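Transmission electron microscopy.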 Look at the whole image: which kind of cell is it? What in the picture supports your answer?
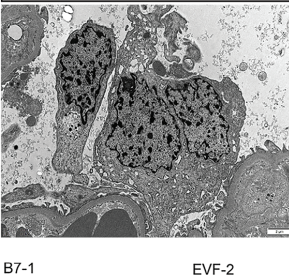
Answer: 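Two large nuclei with irregular, clumped dark chromatin lie side by side in the centre. The nuclei sit within one cell body bounded by pale cytoplasm. The cell lies in a glomerular setting above a thin membrane-like band near the bottom. That points to this answer: binucleated podocytes.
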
